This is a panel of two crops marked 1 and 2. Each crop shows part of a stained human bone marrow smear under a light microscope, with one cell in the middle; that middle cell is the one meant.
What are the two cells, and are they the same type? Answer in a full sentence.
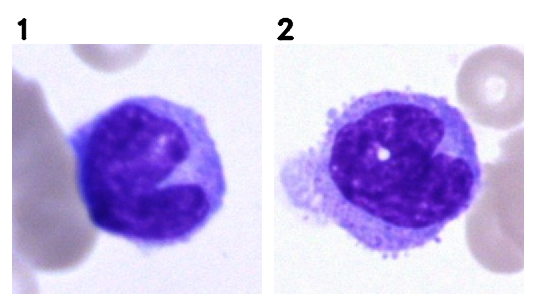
Yes, the central cells in both of the crops are monocytes.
